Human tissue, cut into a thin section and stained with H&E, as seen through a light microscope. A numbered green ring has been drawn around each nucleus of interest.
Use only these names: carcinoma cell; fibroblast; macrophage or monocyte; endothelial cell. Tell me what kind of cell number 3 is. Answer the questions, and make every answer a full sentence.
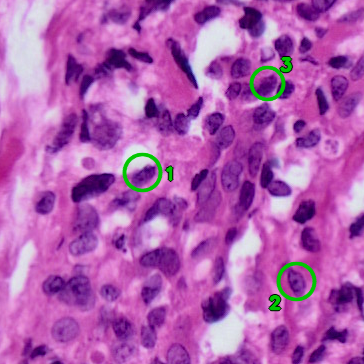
The numeral 3 marks a carcinoma cell in this section.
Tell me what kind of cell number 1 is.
Among the marked cells, number 1 is a carcinoma cell.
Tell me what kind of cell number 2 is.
Among the marked cells, number 2 is a macrophage or monocyte.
